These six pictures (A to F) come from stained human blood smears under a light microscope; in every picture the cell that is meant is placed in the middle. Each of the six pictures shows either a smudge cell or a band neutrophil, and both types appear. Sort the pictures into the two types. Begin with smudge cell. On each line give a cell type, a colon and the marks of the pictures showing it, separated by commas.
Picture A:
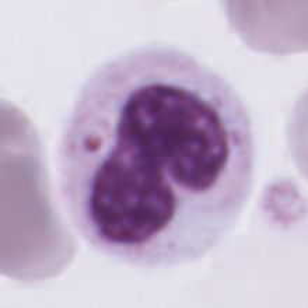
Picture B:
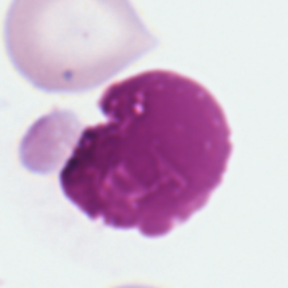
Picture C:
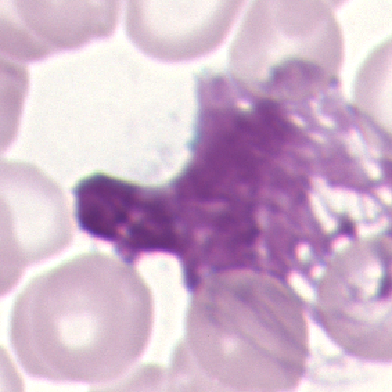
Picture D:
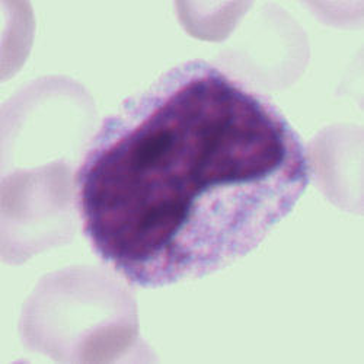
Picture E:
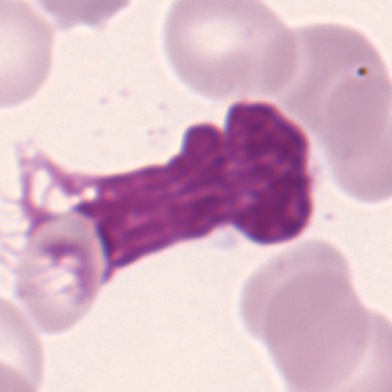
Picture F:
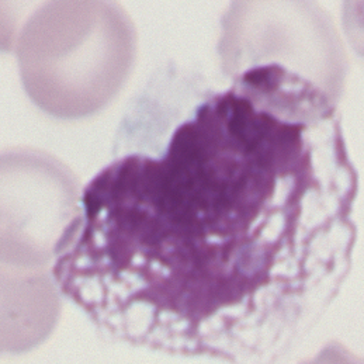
smudge cell: B, C, E, F
band neutrophil: A, D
